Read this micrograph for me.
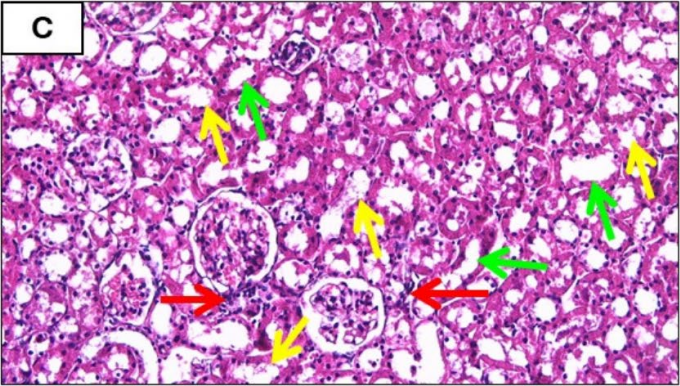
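This is kidney cortex in which the renal tubules are clearly injured. Many tubules have wide, pale, empty-looking lumens, and their lining epithelial cells, pink in the cytoplasm with purple nuclei, are thinned, frayed or full of clear vacuoles, giving the section a bubbly look. Some lining cells look pale and broken up, as necrotic cells do. Several round glomeruli, each a tuft of purple-nucleated capillaries inside a thin capsule, sit among the tubules. Beside two of them, between the tubules, lie dense clusters of small, dark, round nuclei with little cytoplasm: collections of inflammatory cells.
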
